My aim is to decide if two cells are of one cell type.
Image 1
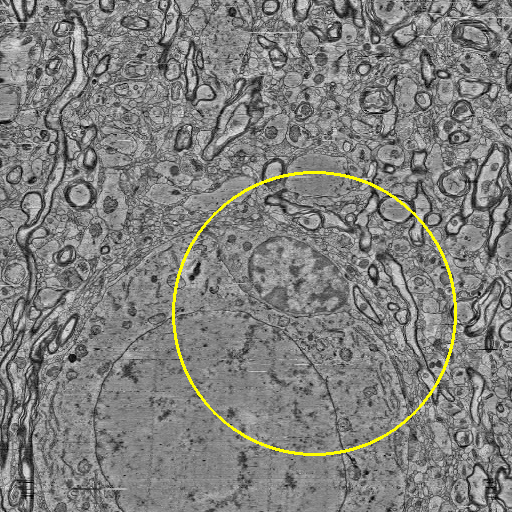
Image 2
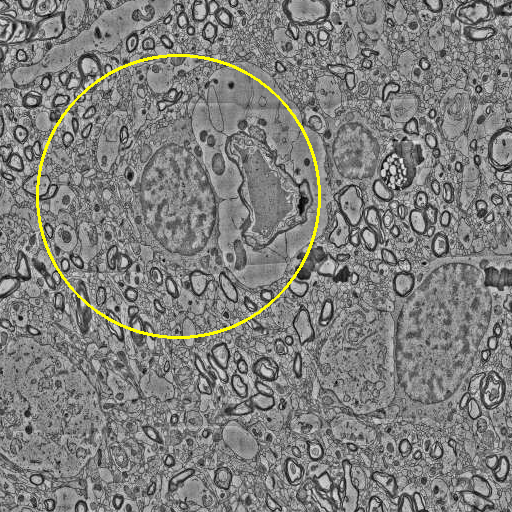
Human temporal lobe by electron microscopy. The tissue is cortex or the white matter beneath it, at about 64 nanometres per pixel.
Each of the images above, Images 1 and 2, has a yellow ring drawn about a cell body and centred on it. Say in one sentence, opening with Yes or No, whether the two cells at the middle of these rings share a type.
Yes, in Images 1 and 2 the cells at the middle of the rings share one type.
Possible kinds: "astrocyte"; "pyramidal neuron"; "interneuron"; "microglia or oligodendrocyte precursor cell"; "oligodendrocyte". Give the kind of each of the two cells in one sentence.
Each cell, in the first picture and the second, is an oligodendrocyte.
